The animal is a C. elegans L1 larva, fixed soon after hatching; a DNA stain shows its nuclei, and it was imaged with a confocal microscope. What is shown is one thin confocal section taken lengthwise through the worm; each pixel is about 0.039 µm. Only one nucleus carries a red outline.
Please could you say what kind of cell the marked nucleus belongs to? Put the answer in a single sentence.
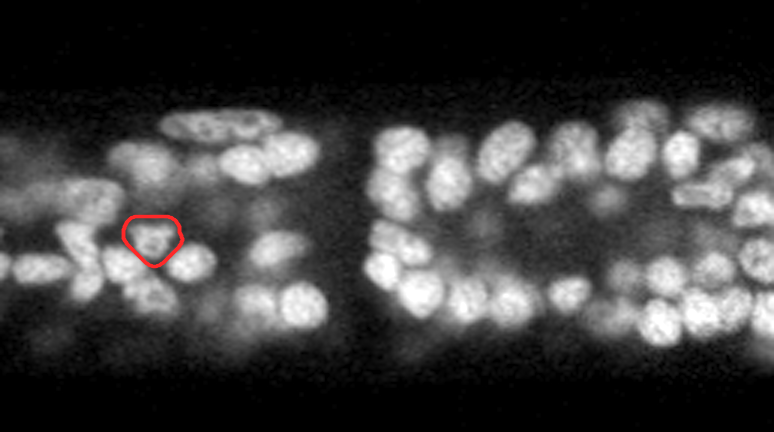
It belongs to a pharyngeal muscle cell.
